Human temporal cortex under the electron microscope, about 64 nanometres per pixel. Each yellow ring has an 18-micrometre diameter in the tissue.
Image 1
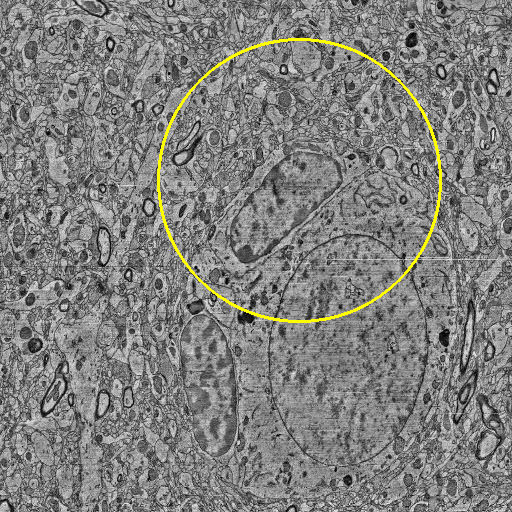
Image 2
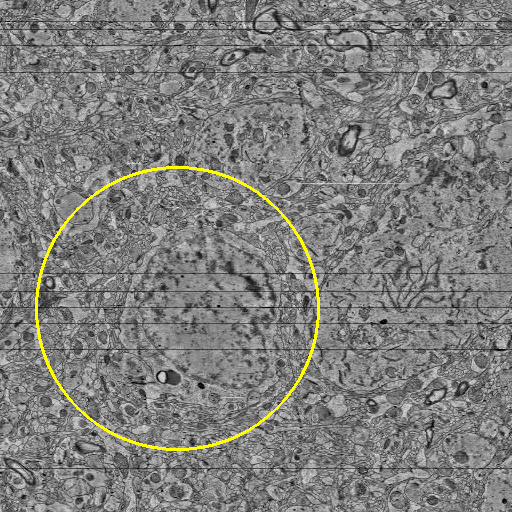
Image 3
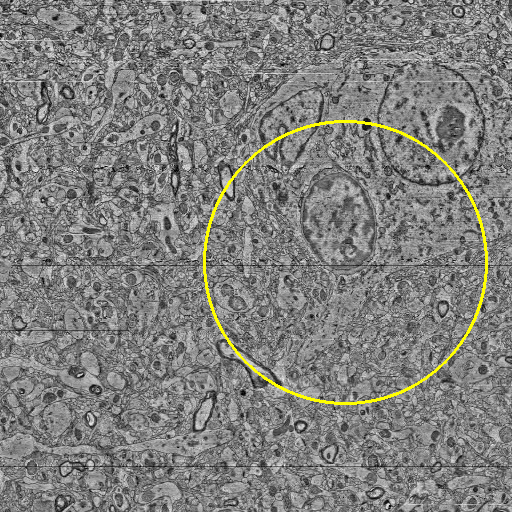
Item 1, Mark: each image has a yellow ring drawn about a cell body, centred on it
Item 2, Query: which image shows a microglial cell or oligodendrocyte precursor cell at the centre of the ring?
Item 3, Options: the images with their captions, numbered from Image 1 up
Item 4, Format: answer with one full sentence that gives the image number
My answer is image 1, where the cell at the ring's centre fits.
